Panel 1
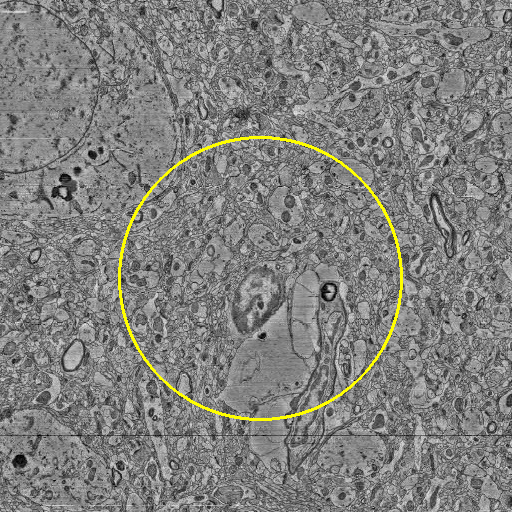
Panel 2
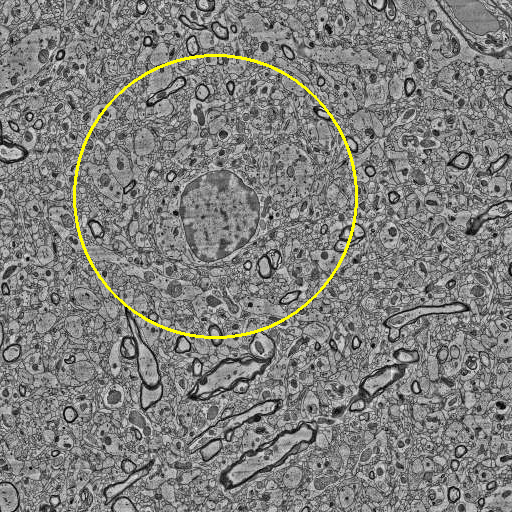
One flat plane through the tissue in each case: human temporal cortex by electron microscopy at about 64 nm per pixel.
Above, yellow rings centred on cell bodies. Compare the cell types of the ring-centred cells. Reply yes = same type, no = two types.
no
